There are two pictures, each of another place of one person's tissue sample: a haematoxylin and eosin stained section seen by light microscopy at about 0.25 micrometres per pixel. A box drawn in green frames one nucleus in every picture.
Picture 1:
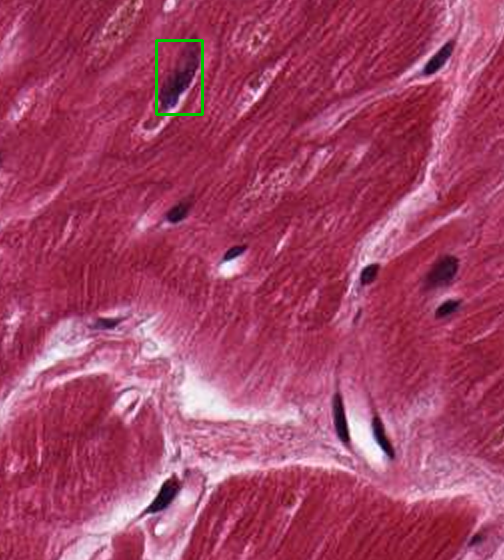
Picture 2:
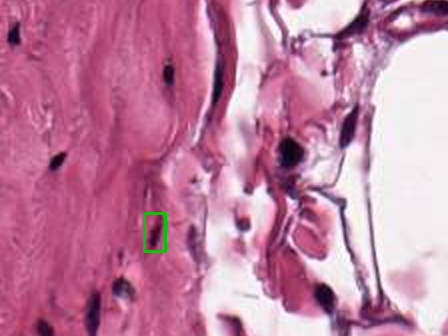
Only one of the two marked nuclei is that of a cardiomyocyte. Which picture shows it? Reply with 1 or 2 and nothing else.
1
